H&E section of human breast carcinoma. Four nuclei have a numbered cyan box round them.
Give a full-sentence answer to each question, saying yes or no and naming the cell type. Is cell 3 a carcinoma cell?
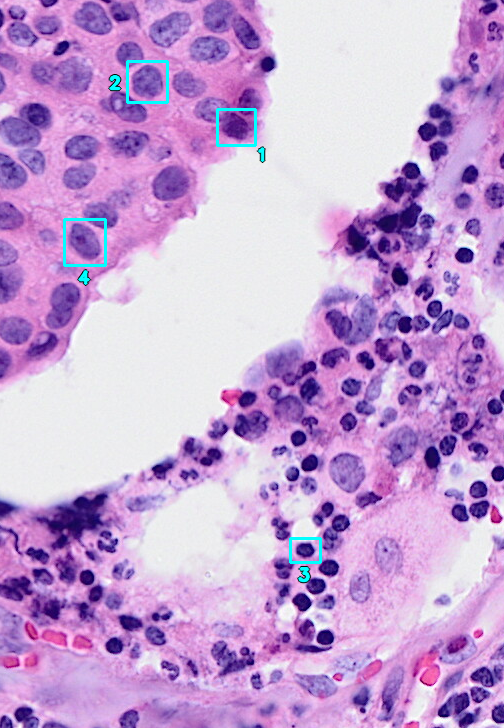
No, the cell carrying number 3 is a lymphocyte, not a carcinoma cell.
